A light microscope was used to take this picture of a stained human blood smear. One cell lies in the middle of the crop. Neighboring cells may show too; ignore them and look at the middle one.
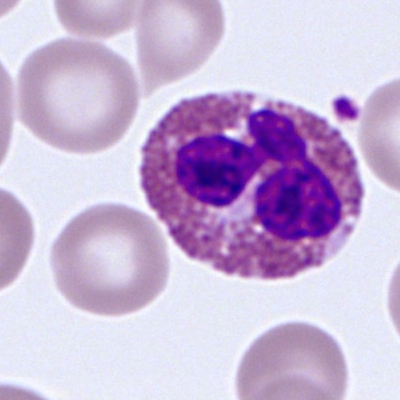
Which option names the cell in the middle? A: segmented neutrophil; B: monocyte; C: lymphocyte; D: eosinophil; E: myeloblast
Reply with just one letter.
D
